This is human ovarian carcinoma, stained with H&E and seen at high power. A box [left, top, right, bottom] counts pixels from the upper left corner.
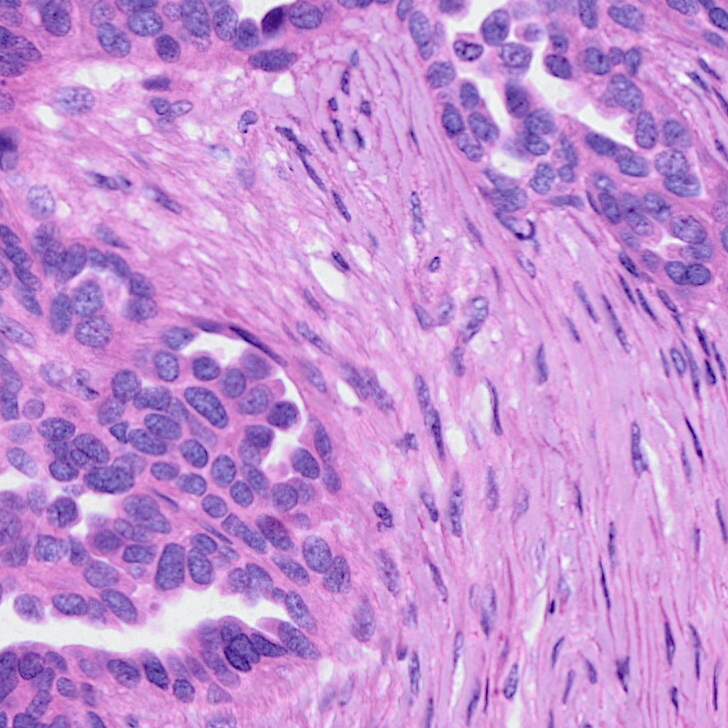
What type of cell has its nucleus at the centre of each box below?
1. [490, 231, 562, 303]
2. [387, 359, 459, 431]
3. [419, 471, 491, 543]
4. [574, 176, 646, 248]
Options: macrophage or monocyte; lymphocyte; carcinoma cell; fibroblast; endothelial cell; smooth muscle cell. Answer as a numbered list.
1. fibroblast
2. fibroblast
3. fibroblast
4. carcinoma cell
